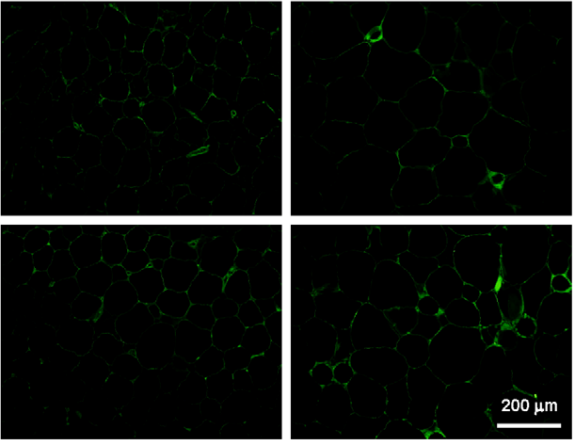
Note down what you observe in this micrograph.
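Thin green lines trace the borders between neighbouring cells, with small brighter green rings and patches at some junctions between cells. The cells differ visibly in size from one image to another, with larger cell profiles in the right-hand images.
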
